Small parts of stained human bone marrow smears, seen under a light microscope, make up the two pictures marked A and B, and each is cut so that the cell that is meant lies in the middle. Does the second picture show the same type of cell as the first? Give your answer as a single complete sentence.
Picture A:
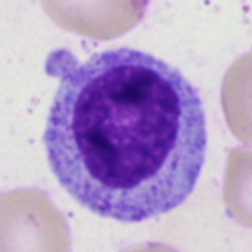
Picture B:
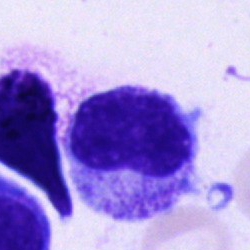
No, they differ: the cell is a myelocyte in picture A and a metamyelocyte in picture B.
